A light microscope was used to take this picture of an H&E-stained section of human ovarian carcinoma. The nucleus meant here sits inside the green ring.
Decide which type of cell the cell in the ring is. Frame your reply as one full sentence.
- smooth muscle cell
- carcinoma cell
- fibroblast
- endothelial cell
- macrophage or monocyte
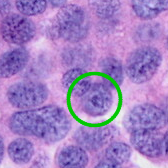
In the tissue at hand, the cell in the ring is a carcinoma cell.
